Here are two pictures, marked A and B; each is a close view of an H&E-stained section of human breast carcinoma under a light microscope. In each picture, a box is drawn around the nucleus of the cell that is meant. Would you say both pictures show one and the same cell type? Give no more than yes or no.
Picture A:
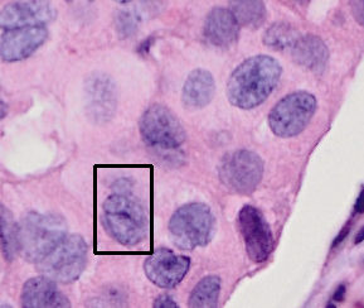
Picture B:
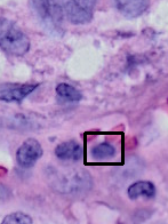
no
